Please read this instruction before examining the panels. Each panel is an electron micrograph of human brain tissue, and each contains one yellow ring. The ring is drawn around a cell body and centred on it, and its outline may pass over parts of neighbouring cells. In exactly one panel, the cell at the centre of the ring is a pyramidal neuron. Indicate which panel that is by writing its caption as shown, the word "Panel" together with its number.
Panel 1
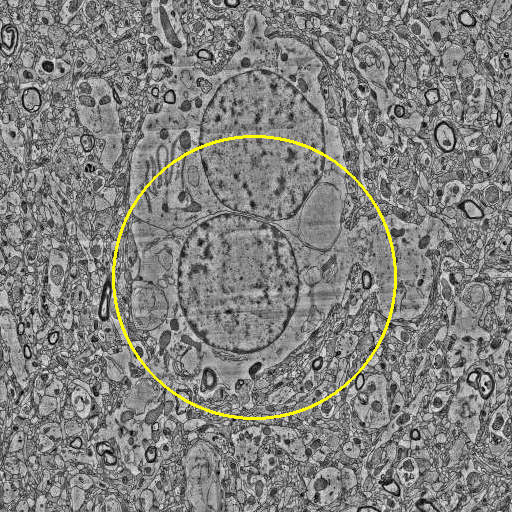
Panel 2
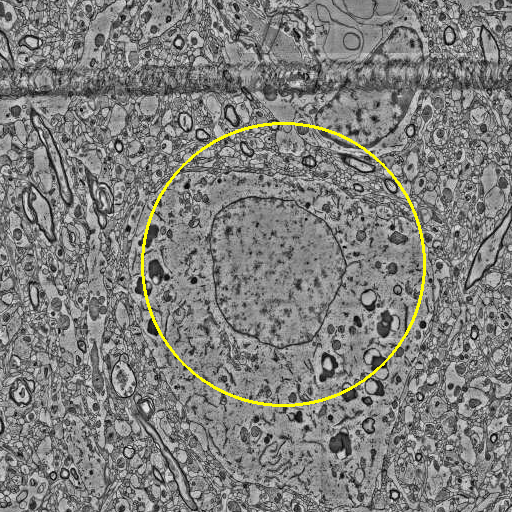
Panel 2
